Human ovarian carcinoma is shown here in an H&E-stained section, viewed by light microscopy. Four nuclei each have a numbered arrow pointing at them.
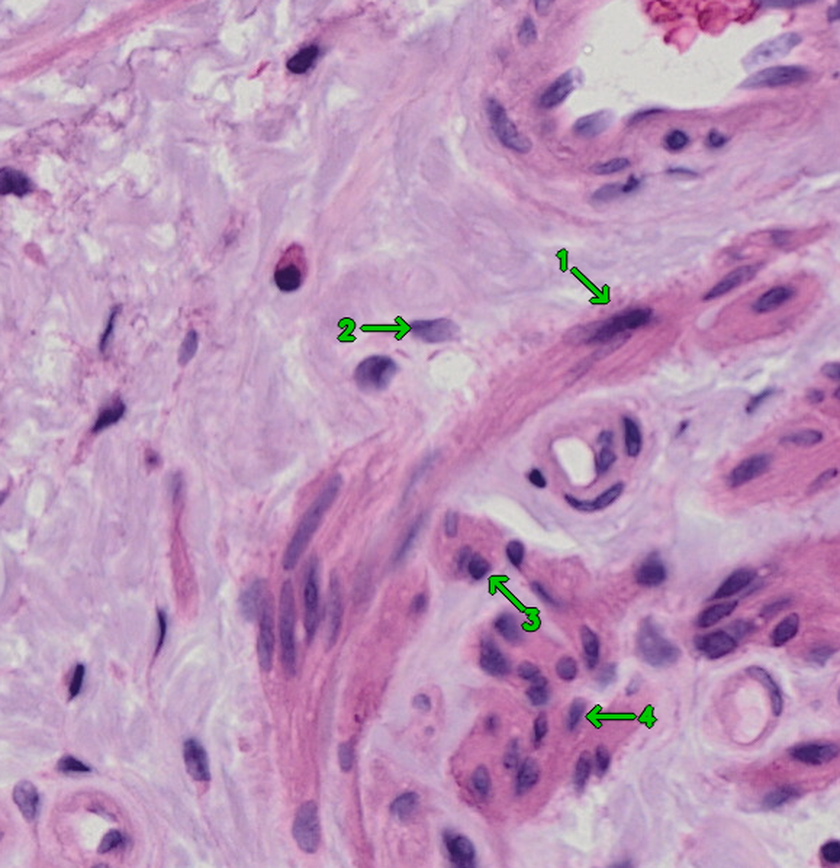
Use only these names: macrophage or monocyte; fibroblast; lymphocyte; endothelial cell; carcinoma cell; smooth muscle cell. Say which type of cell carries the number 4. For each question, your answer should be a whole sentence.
The nucleus with number 4 is that of a smooth muscle cell.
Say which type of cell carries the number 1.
The cell numbered 1 represents a smooth muscle cell.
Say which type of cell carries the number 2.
The nucleus labeled 2 belongs to a fibroblast.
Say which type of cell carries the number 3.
The numeral 3 marks a smooth muscle cell in this section.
